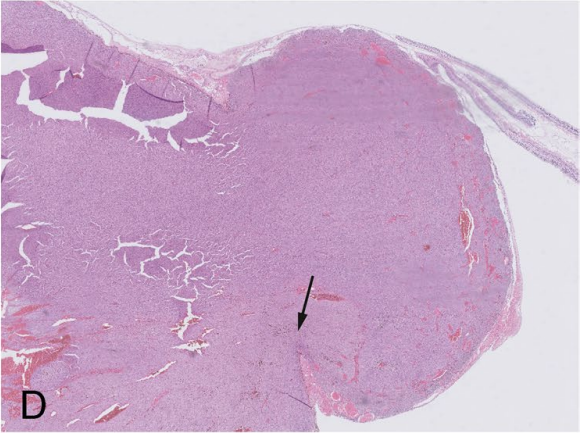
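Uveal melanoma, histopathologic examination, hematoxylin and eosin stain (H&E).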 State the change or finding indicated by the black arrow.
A: Rupture of the Bruch membrane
